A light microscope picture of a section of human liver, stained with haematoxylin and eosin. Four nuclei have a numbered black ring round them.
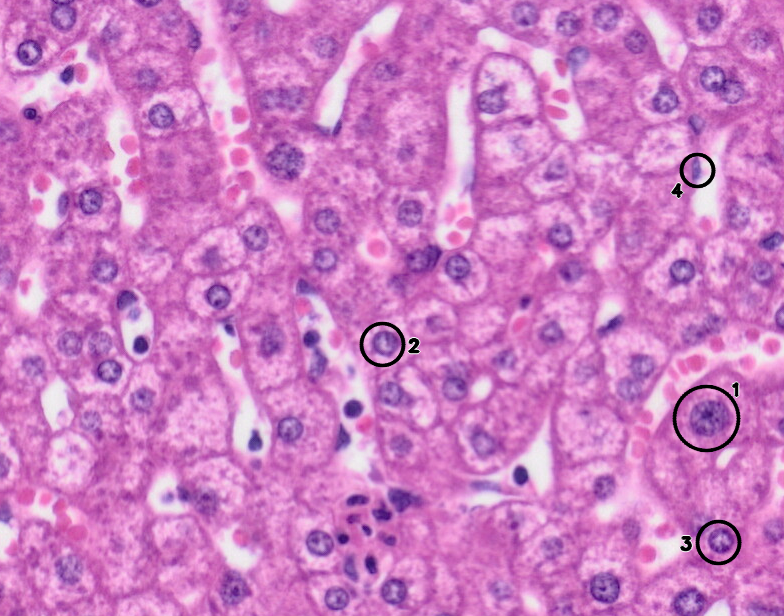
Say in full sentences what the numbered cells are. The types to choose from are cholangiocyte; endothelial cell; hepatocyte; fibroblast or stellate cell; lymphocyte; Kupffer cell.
Cell 1 is a hepatocyte, cell 2 is a hepatocyte, cell 3 is a hepatocyte and cell 4 is an endothelial cell.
